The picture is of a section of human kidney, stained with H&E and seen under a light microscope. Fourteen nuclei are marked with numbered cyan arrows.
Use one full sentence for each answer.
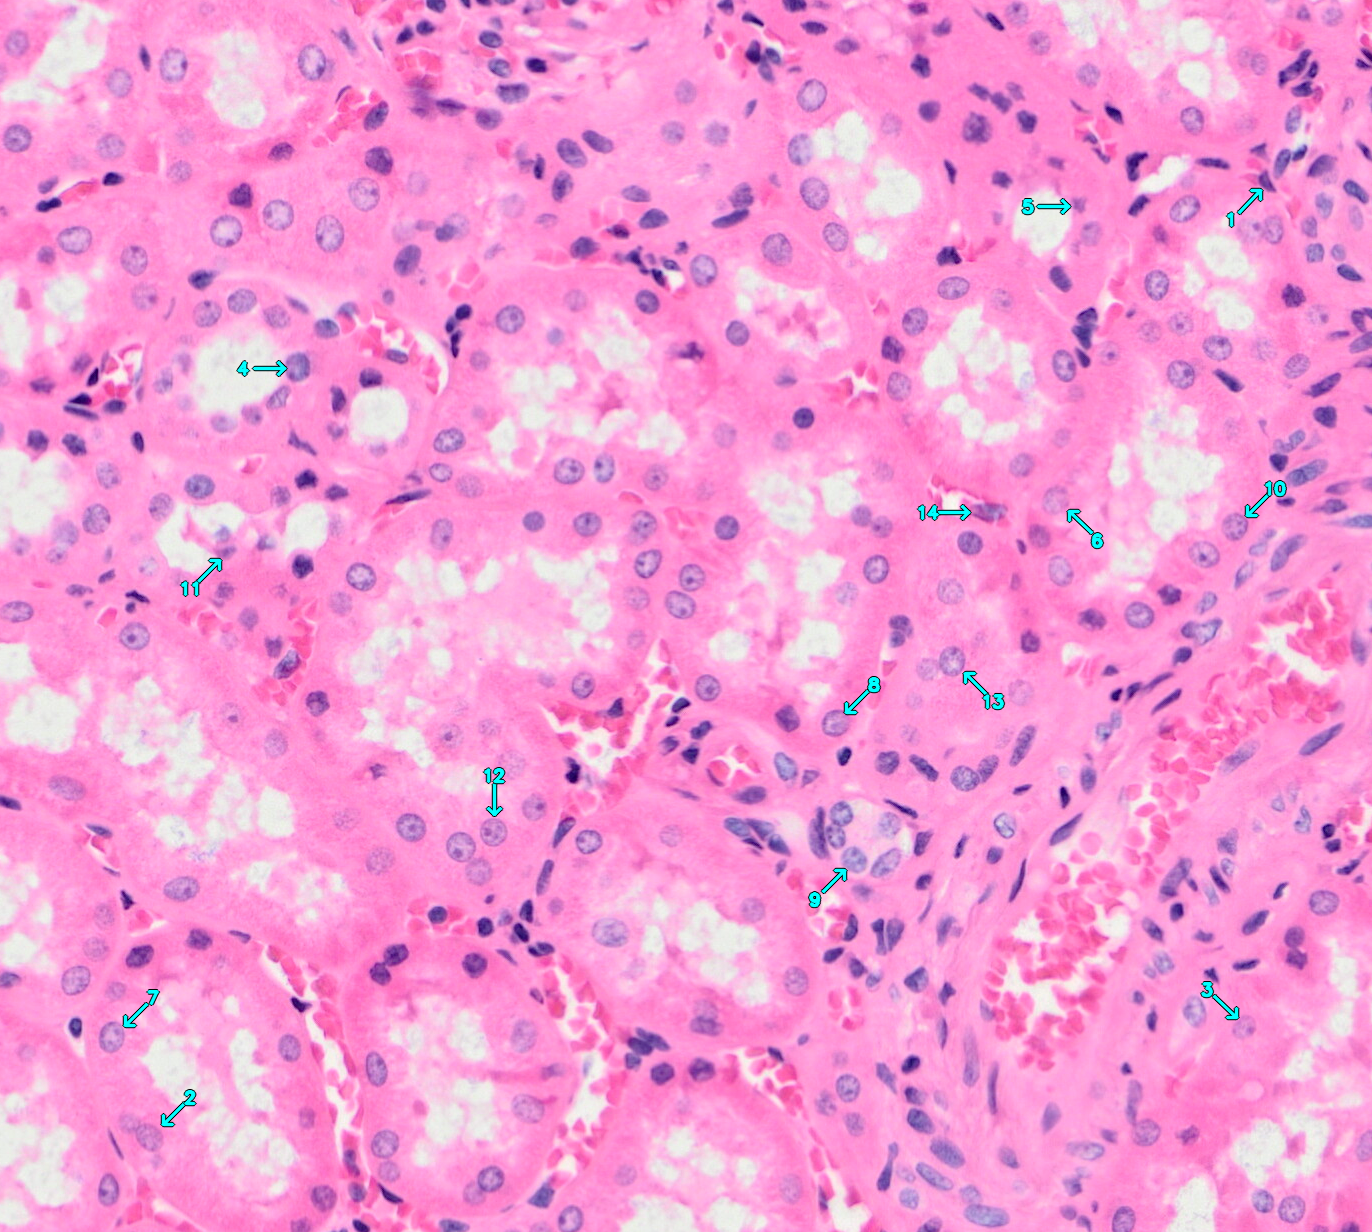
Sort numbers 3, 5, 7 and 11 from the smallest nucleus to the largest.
The order from the smallest nucleus to the largest is 5, 11, 3, 7.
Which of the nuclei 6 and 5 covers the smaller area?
Nucleus 5 is the smaller one; nucleus 6 covers about 4 times its area.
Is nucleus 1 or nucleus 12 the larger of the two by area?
The larger nucleus is 12, at roughly 3 times the area of 1.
